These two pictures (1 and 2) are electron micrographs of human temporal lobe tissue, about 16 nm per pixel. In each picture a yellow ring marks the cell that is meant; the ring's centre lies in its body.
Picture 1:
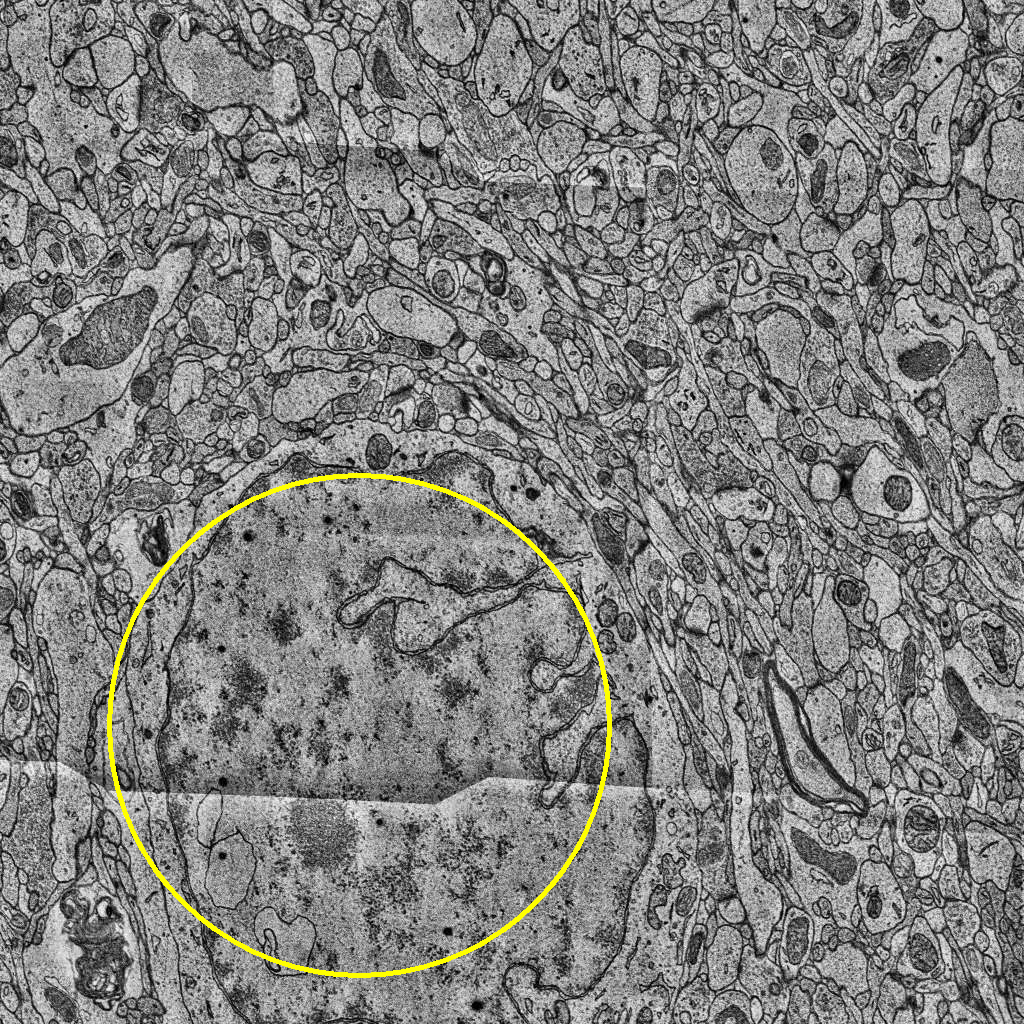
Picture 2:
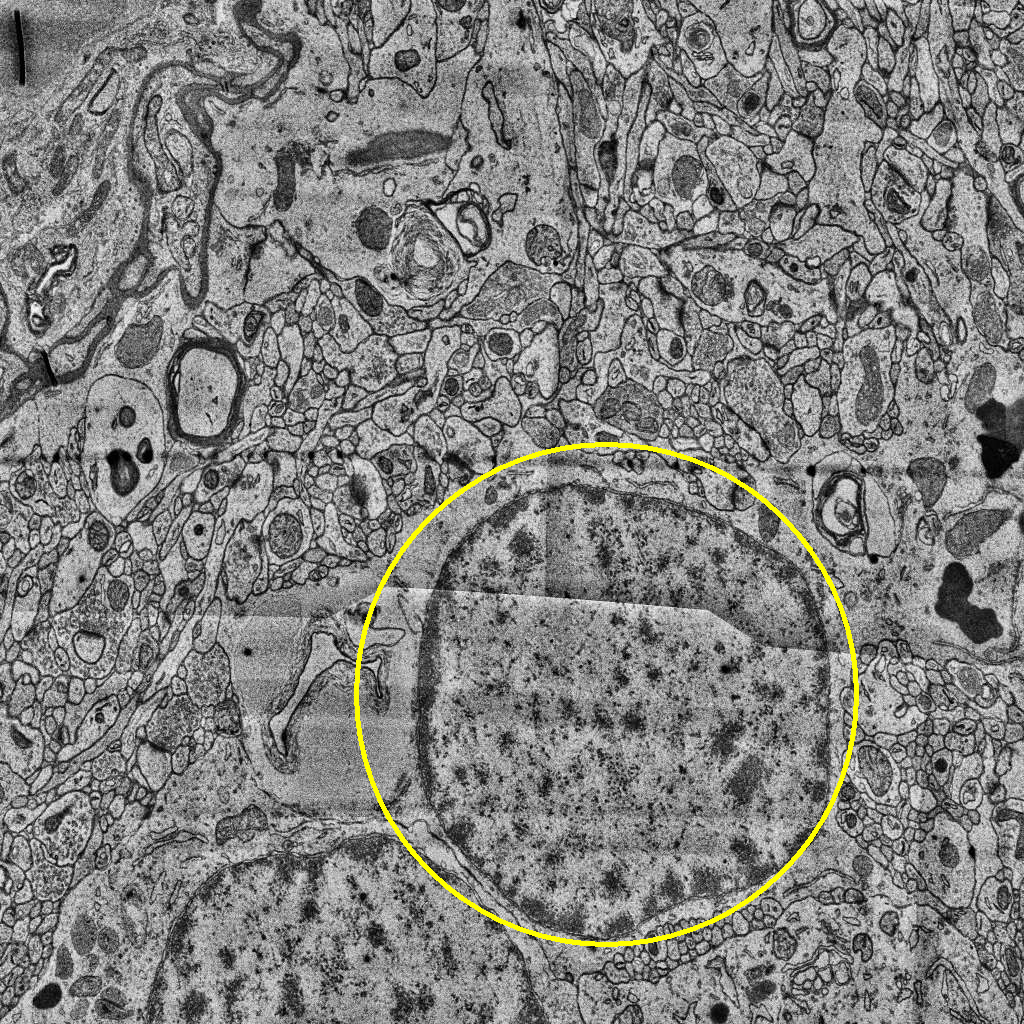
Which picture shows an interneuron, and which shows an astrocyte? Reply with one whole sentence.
It is picture 1 that shows an interneuron, and picture 2 that shows an astrocyte.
